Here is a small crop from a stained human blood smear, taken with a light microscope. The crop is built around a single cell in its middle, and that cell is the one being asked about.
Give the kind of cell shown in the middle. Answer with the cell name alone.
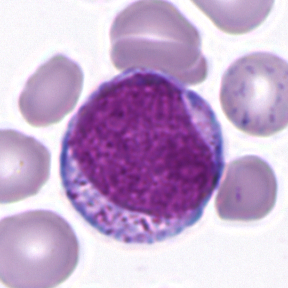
promyelocyte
